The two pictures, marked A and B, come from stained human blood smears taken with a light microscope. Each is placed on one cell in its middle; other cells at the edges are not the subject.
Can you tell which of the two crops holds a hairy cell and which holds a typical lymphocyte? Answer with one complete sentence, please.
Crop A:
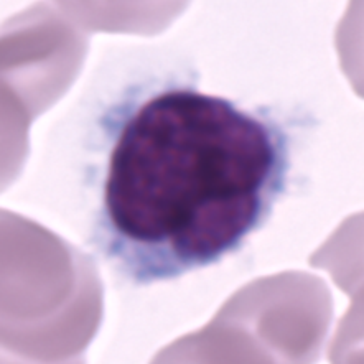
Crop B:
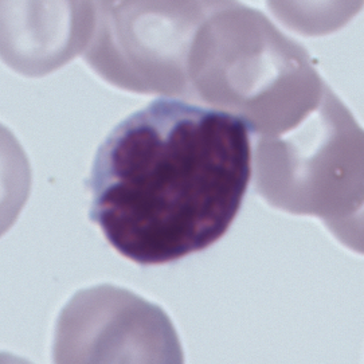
The middle cell in crop A is a hairy cell; the middle cell in crop B is a typical lymphocyte.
